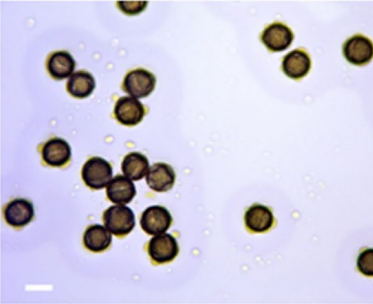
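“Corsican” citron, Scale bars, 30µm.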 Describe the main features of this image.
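Pollen grains scattered singly or in small clusters on a pale background. Each grain is round, with a thick dark brown wall around a slightly lighter centre. The grains are of fairly similar size. Small clear droplets lie around them.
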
